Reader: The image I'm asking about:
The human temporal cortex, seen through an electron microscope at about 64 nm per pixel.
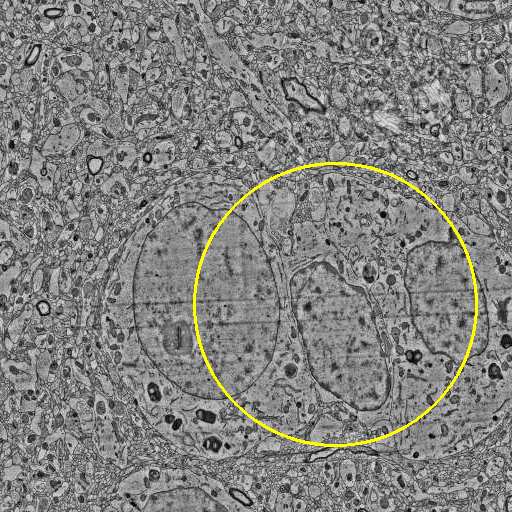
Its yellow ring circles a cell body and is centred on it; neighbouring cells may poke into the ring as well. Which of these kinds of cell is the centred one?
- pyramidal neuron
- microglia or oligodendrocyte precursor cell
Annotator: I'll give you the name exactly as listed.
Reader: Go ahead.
microglia or oligodendrocyte precursor cell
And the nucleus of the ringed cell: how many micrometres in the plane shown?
The nucleus measures about 10 by 5 micrometres, so it is clearly longer than it is wide in this plane.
